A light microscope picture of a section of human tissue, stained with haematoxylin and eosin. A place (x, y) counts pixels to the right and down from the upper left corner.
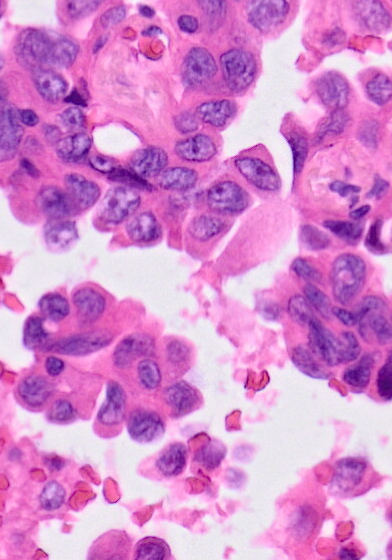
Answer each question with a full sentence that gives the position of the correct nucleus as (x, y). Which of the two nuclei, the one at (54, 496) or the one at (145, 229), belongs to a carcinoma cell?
Belonging to a carcinoma cell is the nucleus at (145, 229).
